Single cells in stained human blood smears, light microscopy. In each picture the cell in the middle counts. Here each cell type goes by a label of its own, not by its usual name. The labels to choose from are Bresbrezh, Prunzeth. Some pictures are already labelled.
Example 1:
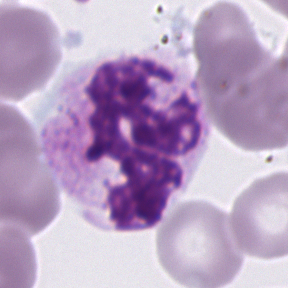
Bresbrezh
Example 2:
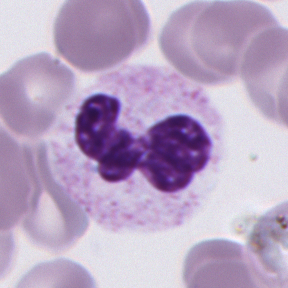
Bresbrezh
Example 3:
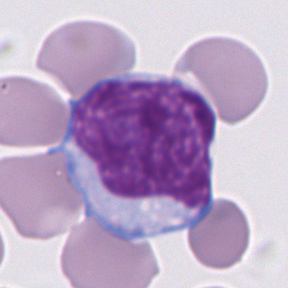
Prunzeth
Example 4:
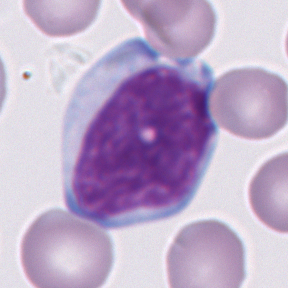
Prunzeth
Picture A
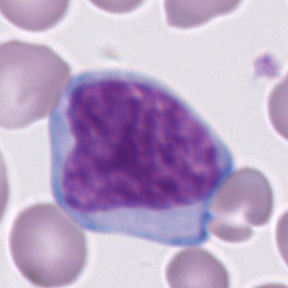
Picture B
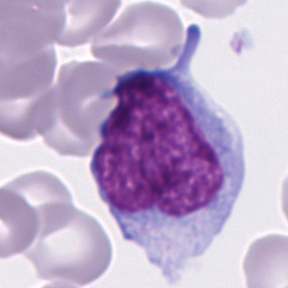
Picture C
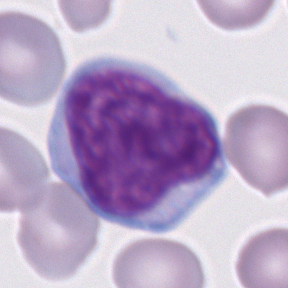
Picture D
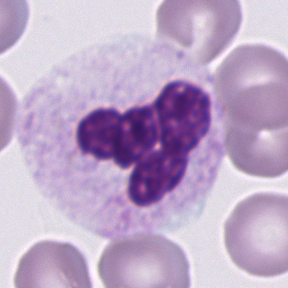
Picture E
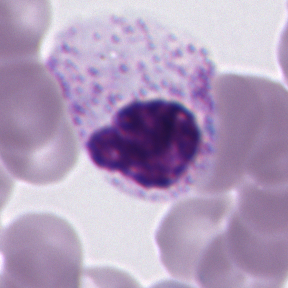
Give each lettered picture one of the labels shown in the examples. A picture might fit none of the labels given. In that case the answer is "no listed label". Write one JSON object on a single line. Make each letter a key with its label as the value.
{"A": "Prunzeth", "B": "no listed label", "C": "Prunzeth", "D": "Bresbrezh", "E": "Bresbrezh"}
